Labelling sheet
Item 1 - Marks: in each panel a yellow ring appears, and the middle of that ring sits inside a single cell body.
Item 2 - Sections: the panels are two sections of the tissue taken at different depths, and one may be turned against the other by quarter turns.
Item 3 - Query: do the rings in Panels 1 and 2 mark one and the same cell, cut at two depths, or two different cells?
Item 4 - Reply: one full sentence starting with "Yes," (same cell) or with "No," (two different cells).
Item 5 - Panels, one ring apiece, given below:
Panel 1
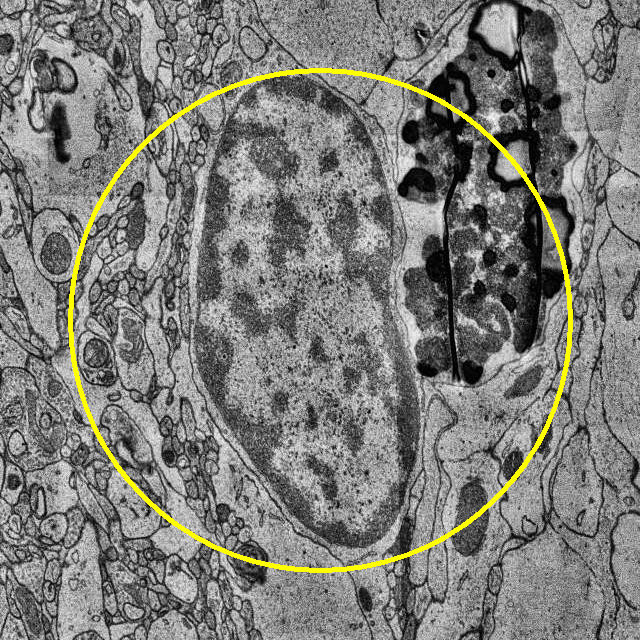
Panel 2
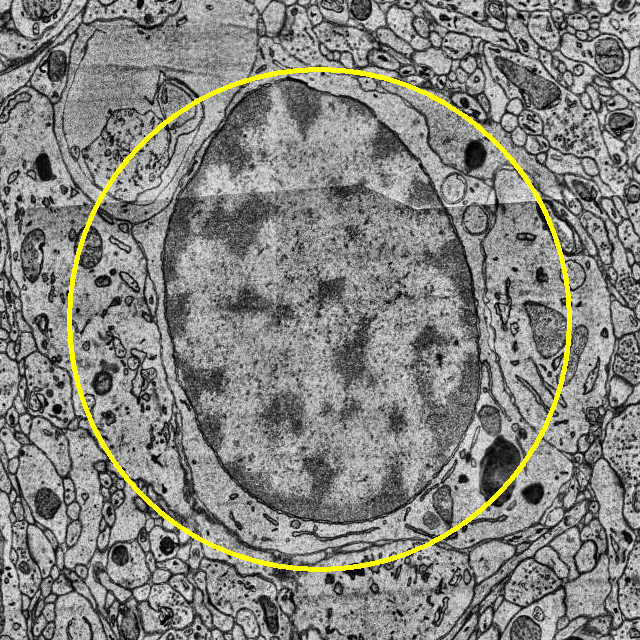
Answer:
No, the two rings enclose two cells that are not the same.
